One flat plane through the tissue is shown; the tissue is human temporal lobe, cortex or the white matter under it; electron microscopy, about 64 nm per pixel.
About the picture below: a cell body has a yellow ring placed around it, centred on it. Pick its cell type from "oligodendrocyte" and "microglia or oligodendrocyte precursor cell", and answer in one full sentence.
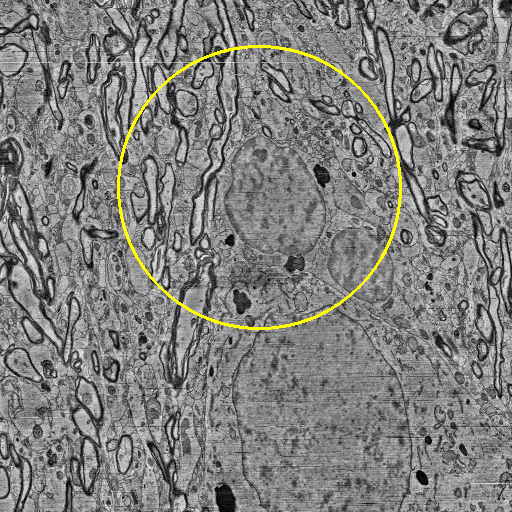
In the picture, an oligodendrocyte is the cell sitting at the centre of the yellow ring.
